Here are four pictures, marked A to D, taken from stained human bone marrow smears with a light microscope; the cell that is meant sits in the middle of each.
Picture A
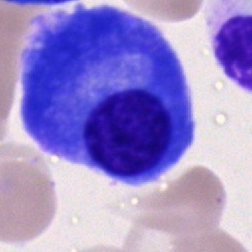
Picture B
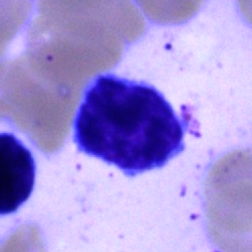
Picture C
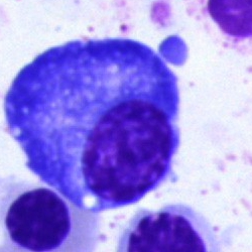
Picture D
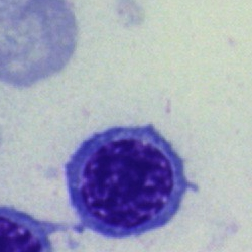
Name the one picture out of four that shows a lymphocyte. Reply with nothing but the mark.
B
